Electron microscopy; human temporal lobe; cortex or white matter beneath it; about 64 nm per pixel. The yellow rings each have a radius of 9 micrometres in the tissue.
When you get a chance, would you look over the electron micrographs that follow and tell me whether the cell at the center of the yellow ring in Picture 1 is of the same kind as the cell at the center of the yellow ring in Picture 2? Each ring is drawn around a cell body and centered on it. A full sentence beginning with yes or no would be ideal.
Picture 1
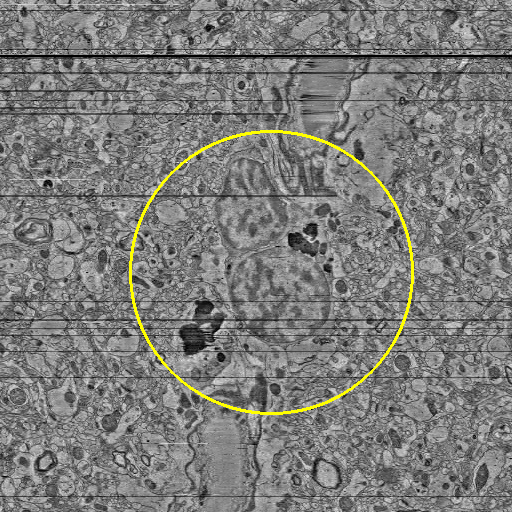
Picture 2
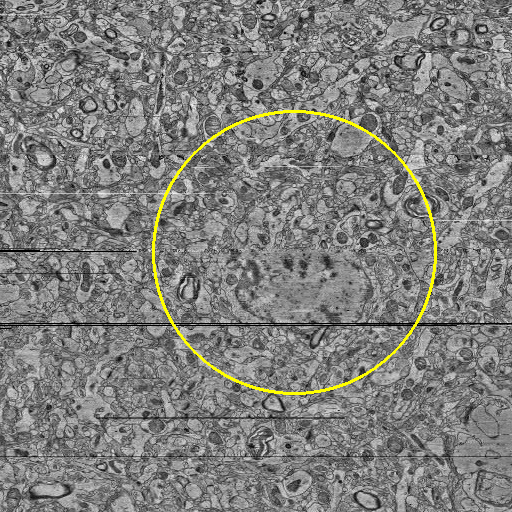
No, they are two kinds of cell.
